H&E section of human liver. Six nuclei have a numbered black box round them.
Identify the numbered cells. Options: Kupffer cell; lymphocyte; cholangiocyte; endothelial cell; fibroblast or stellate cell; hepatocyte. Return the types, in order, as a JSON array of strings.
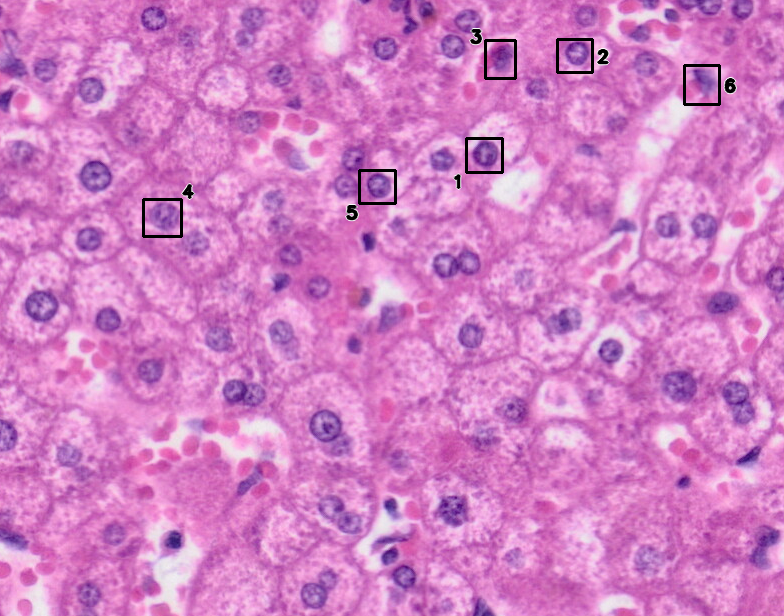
["hepatocyte", "hepatocyte", "Kupffer cell", "hepatocyte", "hepatocyte", "endothelial cell"]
